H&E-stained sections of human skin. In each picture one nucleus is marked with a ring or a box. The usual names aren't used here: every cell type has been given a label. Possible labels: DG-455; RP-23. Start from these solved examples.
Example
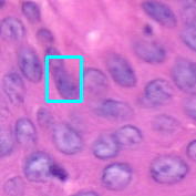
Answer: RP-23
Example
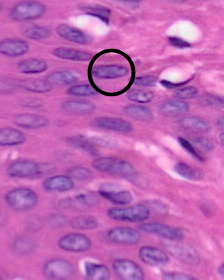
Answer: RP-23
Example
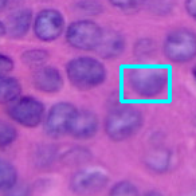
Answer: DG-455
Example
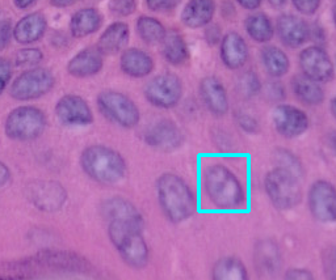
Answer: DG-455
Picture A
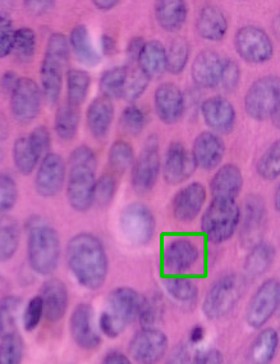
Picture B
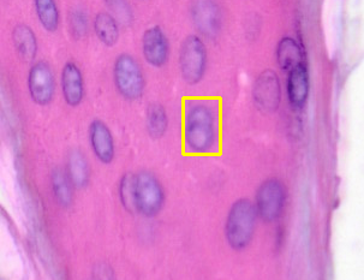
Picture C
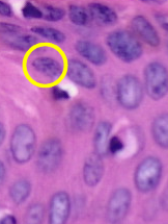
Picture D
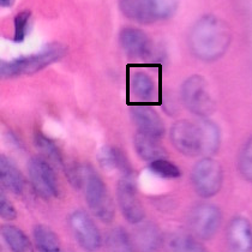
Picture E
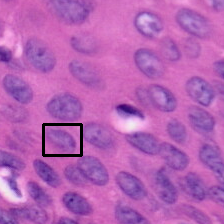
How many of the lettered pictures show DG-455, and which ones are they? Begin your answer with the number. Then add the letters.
2: B, E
